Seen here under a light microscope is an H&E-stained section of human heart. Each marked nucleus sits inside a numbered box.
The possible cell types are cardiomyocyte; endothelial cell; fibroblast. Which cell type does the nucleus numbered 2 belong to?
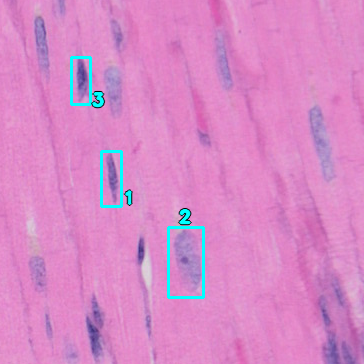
cardiomyocyte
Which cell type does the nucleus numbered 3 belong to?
endothelial cell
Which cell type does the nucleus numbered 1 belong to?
endothelial cell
